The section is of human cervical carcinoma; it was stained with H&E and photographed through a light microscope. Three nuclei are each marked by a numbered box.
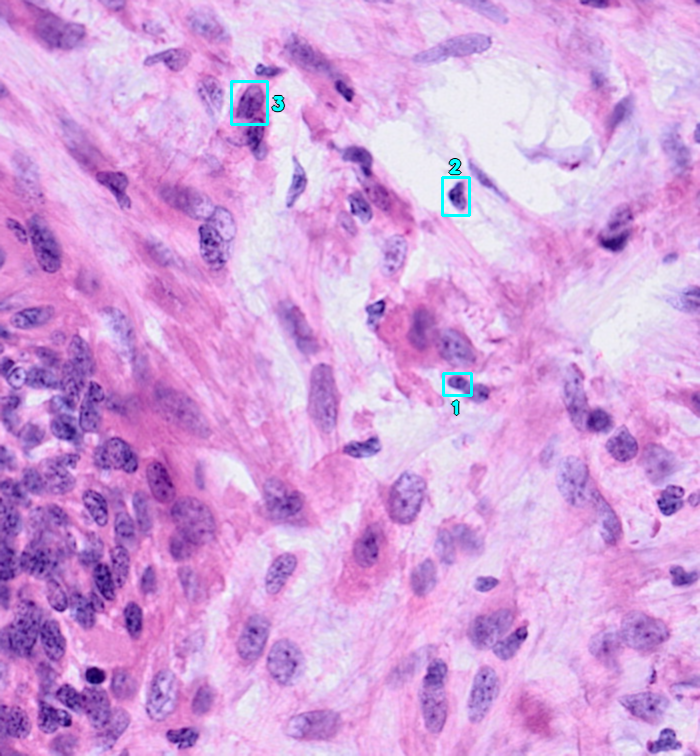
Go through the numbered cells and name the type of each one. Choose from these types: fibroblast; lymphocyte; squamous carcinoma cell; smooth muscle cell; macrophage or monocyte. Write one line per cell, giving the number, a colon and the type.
1: lymphocyte
2: lymphocyte
3: macrophage or monocyte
